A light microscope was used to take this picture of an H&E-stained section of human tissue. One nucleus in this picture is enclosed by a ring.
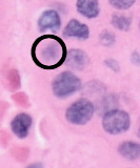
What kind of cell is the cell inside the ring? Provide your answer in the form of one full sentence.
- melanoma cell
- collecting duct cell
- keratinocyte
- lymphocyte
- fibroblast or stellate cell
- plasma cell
On this particular slide, the cell inside the ring is a collecting duct cell.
